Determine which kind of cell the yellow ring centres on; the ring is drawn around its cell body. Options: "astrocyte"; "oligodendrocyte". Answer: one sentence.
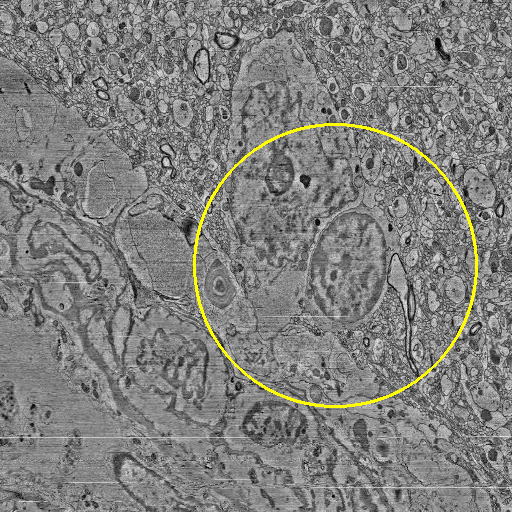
The ring centres on an oligodendrocyte.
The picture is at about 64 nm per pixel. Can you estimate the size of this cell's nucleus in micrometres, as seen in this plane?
In this plane, about 7 by 5 micrometres: the nucleus is clearly longer than it is wide.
